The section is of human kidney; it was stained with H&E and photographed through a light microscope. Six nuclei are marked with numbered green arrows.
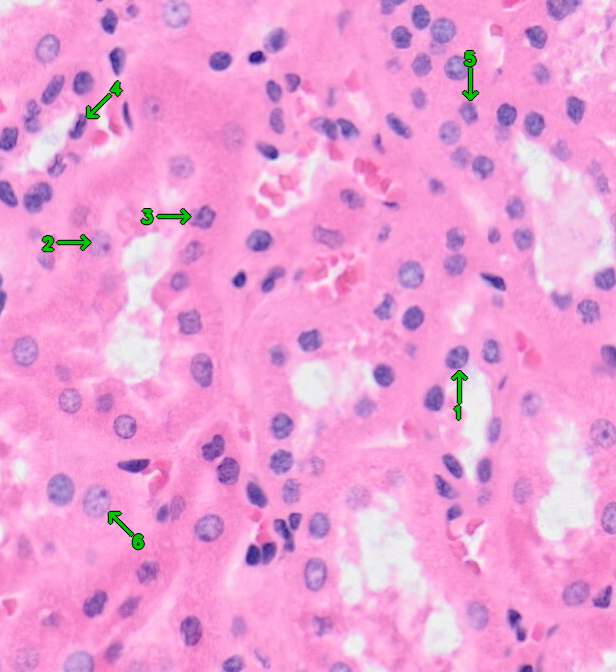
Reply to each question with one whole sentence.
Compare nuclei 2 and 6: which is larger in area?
The larger nucleus is 6, at roughly 2 times the area of 2.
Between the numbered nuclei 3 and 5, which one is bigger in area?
Nucleus 3 covers more area, about 1.5 times as much as nucleus 5.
